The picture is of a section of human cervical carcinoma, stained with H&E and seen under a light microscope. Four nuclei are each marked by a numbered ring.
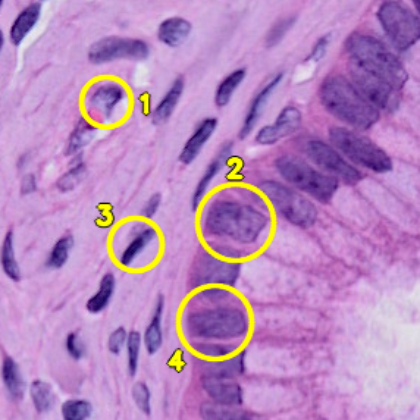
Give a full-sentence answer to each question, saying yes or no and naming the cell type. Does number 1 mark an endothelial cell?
Yes, the cell labelled with number 1 is an endothelial cell.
